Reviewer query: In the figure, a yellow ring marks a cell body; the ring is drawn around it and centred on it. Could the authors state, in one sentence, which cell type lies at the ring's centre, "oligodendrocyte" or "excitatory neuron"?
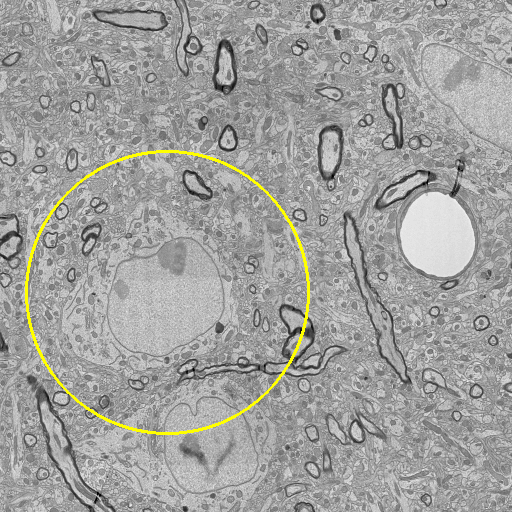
The ring is centred on an excitatory neuron.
